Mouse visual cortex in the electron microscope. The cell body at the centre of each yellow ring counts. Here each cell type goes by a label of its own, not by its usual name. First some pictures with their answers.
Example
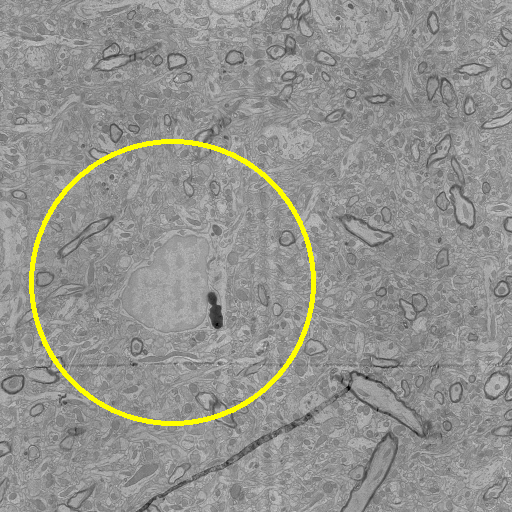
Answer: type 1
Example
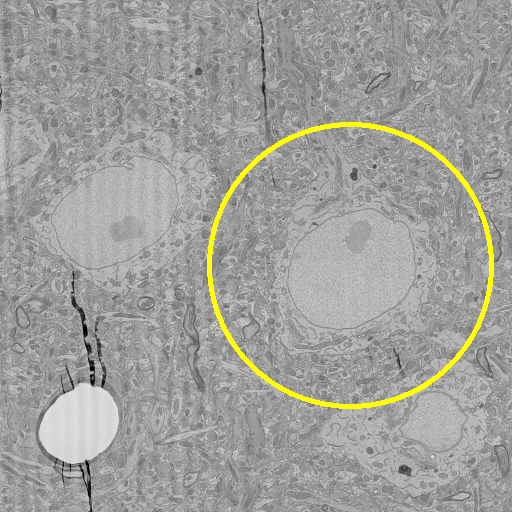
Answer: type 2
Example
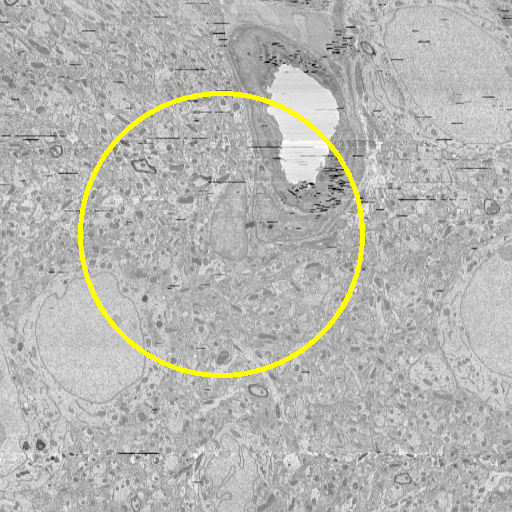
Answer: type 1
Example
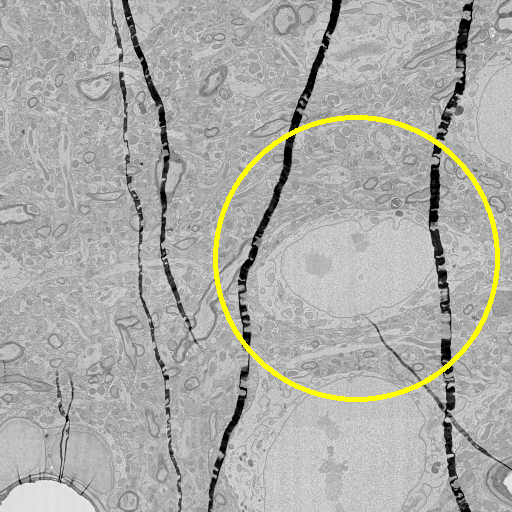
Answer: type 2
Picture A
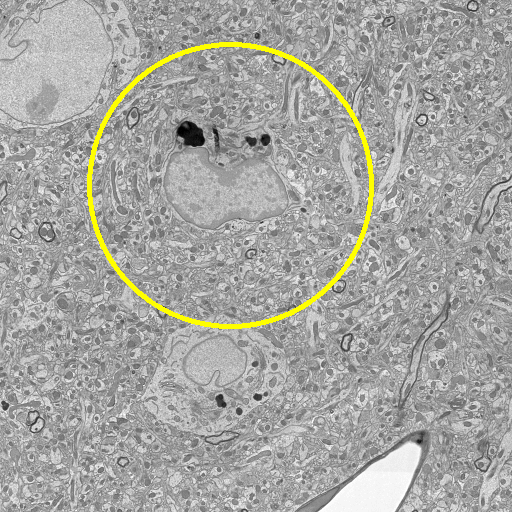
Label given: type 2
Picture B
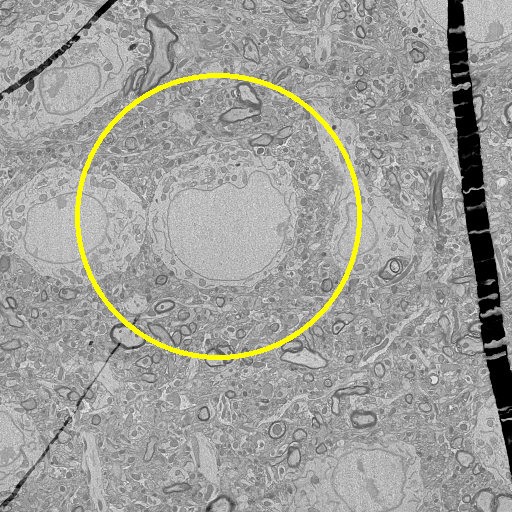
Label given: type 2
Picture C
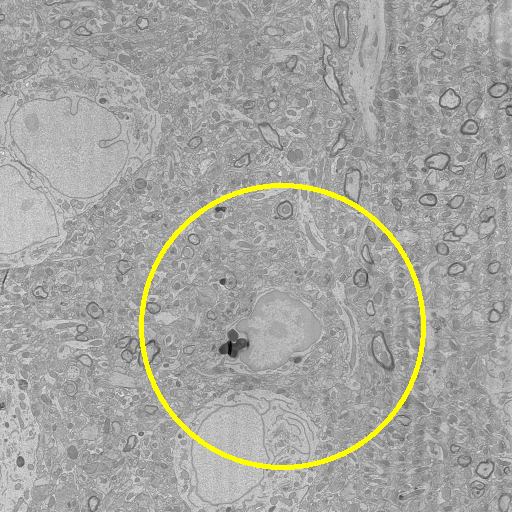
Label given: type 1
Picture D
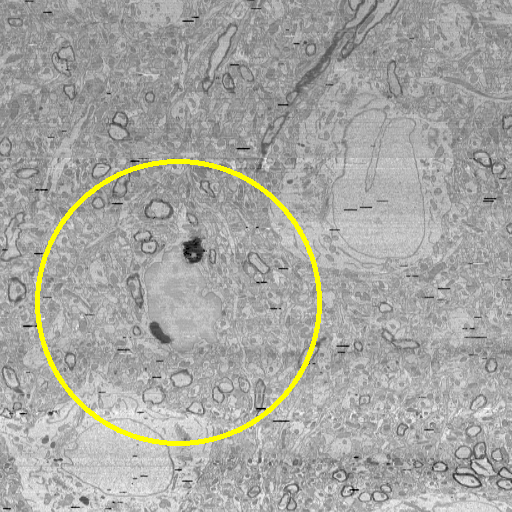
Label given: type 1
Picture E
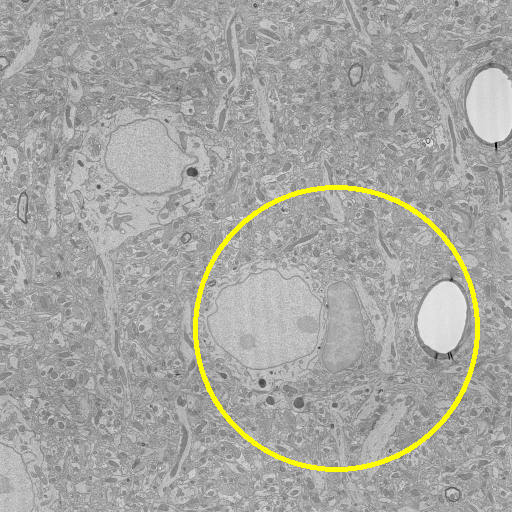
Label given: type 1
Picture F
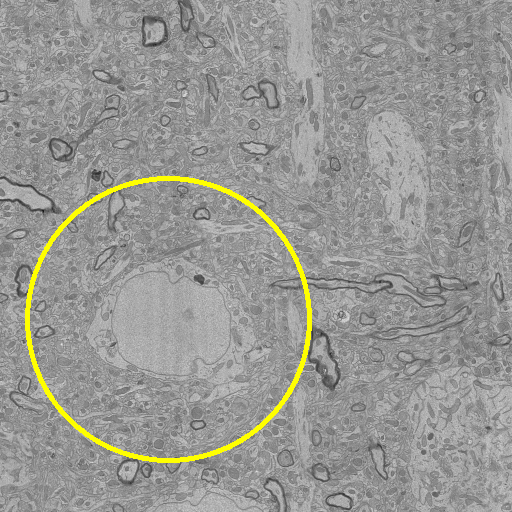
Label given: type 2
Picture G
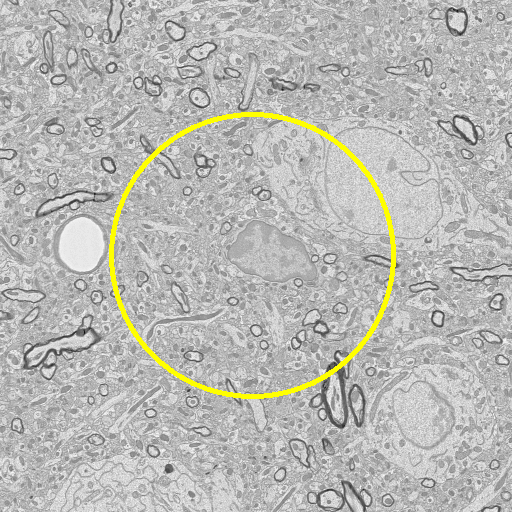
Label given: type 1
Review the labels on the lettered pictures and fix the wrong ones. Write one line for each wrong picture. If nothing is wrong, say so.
A is labelled type 2; correct label: type 1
